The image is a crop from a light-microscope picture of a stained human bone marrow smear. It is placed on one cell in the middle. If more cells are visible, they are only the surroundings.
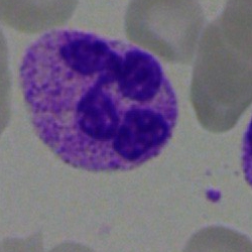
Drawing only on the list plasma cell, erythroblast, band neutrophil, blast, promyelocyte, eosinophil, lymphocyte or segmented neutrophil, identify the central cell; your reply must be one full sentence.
The middle of this crop is occupied by a segmented neutrophil.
